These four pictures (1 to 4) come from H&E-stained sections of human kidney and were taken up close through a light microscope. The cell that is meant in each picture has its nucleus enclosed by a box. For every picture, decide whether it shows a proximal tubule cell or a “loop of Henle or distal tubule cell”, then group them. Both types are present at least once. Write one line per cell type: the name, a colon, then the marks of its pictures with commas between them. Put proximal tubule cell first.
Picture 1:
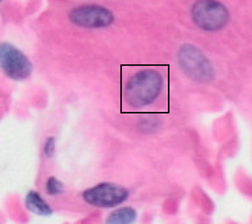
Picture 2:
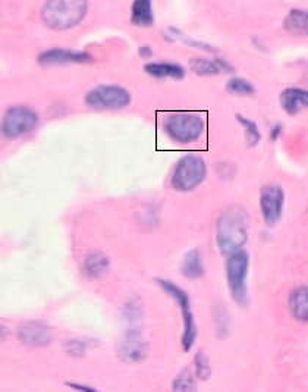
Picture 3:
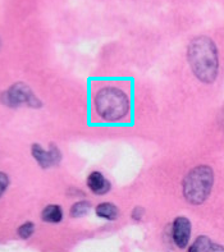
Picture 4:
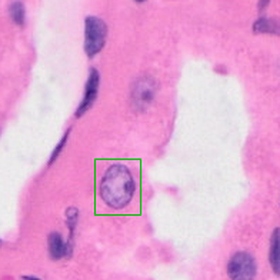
proximal tubule cell: 1, 3, 4
loop of Henle or distal tubule cell: 2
